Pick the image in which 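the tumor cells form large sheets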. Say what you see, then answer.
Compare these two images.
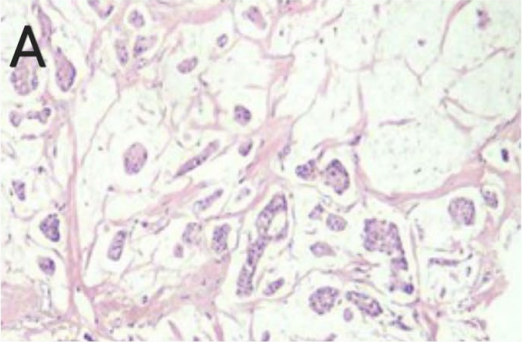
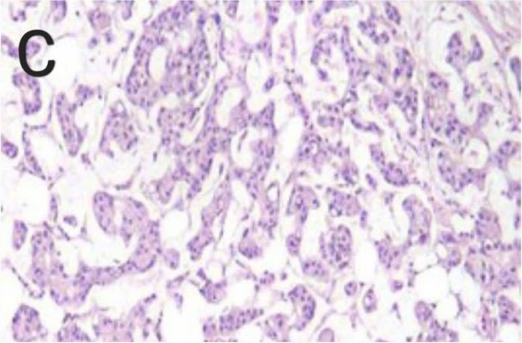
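The second image. Second image: tumor cells form broad, densely packed confluent masses with little pale material between. First image: tumor cells form only small separate clusters in wide pale areas.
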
